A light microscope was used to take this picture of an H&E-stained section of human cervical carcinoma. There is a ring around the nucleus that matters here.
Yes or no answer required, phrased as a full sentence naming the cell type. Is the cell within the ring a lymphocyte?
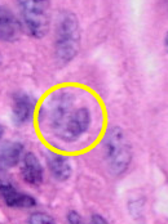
No, mate, the cell within the ring is a squamous carcinoma cell rather than a lymphocyte.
